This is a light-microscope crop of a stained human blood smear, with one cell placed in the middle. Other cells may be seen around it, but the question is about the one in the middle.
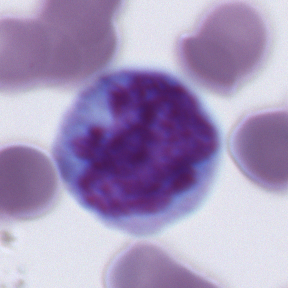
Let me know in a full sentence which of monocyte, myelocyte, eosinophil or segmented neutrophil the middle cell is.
Within this crop, a monocyte occupies the central position.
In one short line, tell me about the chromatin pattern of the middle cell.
Heads up, the chromatin in this one is coarsely clumped.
